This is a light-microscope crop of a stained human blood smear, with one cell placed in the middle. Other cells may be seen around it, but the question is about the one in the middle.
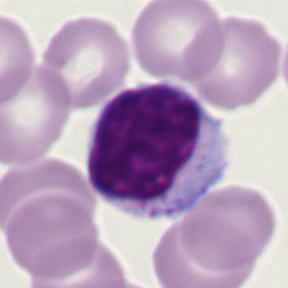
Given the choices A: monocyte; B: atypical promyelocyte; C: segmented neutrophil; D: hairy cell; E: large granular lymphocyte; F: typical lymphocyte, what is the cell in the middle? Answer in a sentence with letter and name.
Of the options given, F is correct, the central cell being a typical lymphocyte.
